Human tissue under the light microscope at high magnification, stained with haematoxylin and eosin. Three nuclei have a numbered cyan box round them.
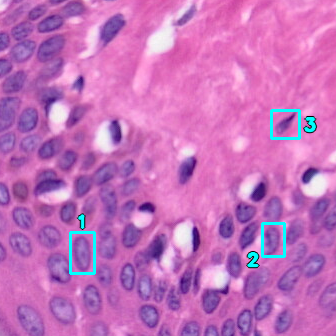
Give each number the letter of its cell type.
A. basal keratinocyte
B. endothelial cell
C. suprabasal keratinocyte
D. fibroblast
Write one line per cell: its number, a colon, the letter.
1: C
2: A
3: D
